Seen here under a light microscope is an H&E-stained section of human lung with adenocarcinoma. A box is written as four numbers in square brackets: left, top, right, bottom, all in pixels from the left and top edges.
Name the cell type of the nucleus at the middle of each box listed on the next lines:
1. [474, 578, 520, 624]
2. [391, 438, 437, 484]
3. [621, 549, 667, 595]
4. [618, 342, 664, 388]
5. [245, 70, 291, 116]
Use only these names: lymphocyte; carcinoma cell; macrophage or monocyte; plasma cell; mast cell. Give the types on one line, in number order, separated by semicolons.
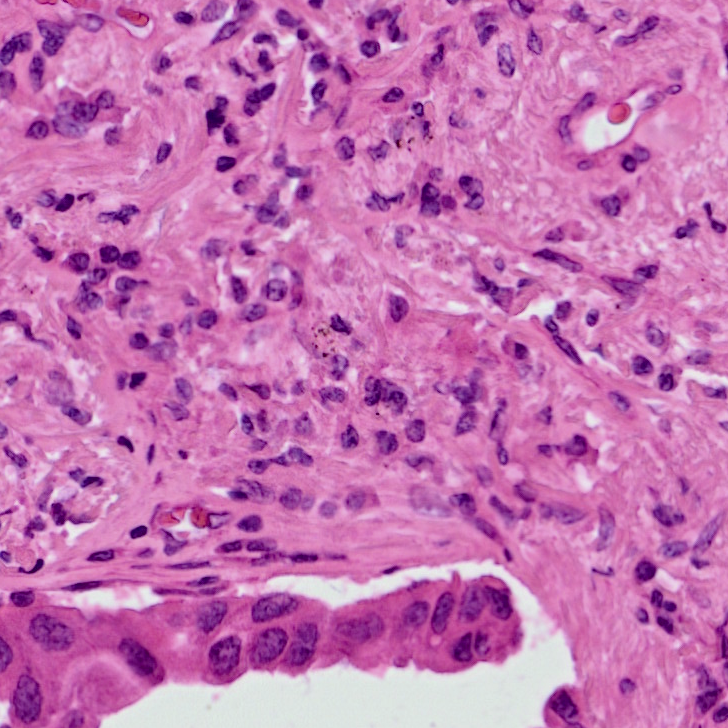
carcinoma cell; plasma cell; plasma cell; lymphocyte; lymphocyte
